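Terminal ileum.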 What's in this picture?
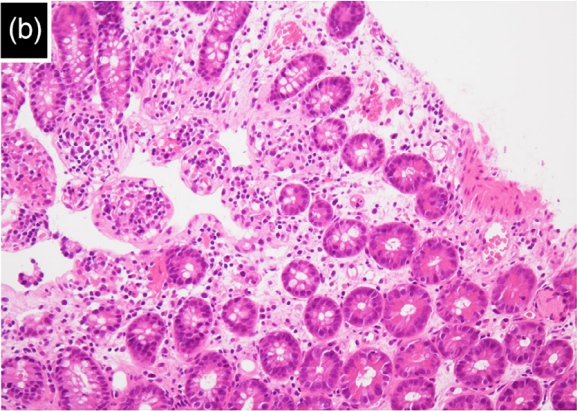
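No tall villi are seen at the surface. The lamina propria between the crypts holds many small round cells with dark nuclei and scant cytoplasm, consistent with lymphocytes. Irregular clear, empty spaces lie in the upper mucosa. A few small vessels with red blood cells are seen near the top right.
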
